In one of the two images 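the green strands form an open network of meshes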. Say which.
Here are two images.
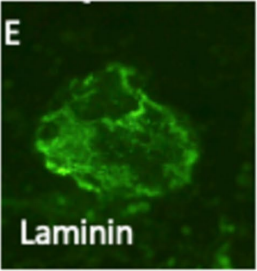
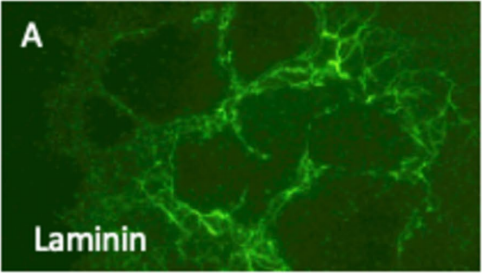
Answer: The second image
